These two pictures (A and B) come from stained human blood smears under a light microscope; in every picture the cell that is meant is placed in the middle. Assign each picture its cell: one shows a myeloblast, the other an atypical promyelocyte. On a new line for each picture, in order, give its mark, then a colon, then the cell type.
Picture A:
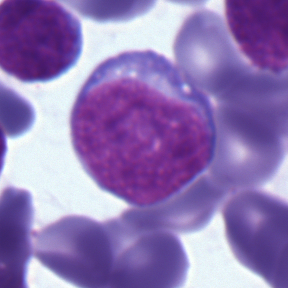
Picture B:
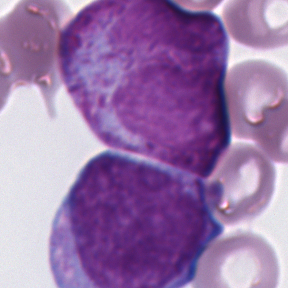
A: myeloblast
B: atypical promyelocyte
